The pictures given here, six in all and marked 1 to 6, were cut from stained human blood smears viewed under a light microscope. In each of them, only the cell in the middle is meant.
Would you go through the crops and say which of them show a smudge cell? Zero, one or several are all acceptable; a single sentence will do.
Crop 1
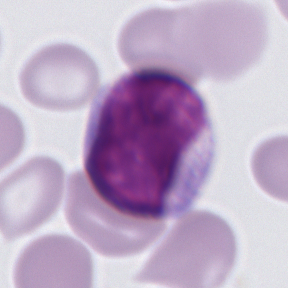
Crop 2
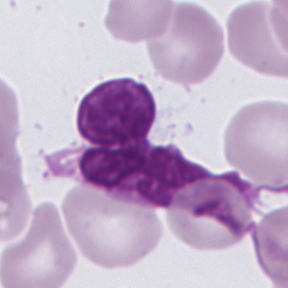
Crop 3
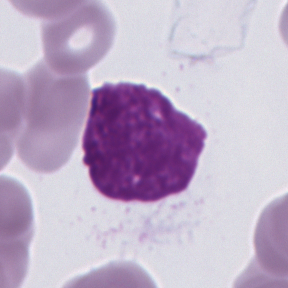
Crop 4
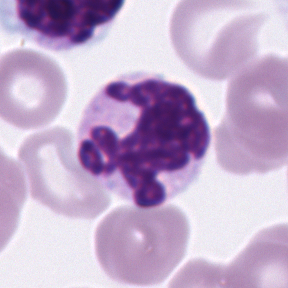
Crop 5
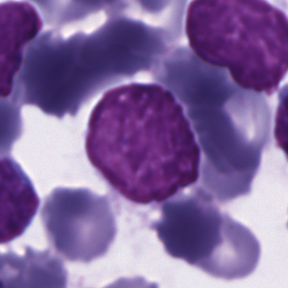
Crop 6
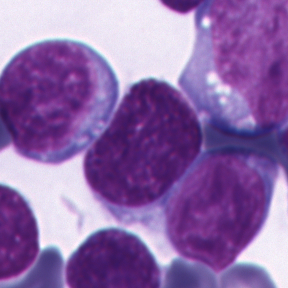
Crops 2, 3 and 5 are identified as showing smudge cells.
